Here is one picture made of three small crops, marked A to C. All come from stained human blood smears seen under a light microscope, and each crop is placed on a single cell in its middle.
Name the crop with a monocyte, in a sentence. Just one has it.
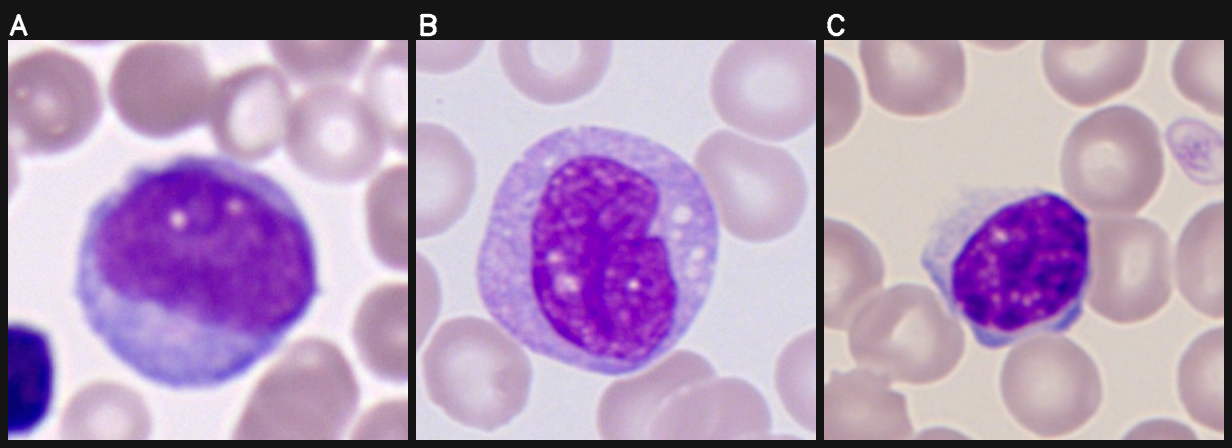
Crop B is the crop that displays a monocyte.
